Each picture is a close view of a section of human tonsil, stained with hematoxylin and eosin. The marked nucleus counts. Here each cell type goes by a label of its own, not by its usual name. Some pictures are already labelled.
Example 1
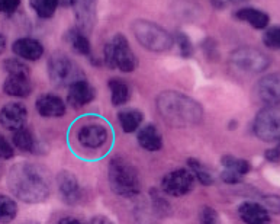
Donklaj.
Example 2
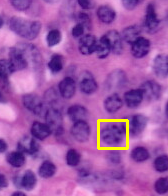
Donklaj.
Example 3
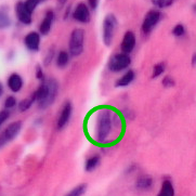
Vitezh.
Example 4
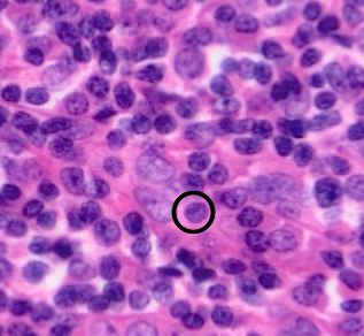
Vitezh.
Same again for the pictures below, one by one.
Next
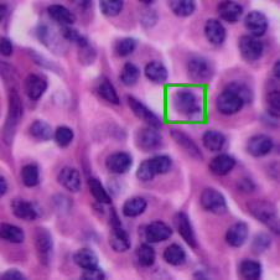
Donklaj.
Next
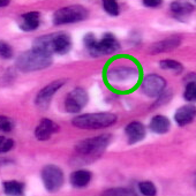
Vitezh.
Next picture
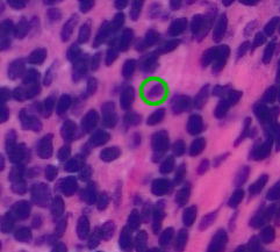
Vitezh.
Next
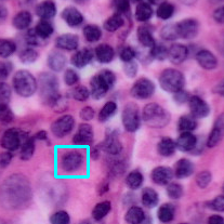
Vitezh.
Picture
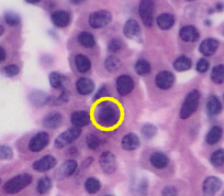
Donklaj.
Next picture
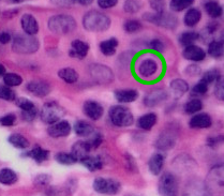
Vitezh.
